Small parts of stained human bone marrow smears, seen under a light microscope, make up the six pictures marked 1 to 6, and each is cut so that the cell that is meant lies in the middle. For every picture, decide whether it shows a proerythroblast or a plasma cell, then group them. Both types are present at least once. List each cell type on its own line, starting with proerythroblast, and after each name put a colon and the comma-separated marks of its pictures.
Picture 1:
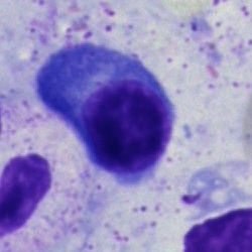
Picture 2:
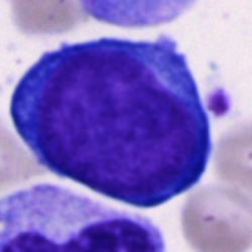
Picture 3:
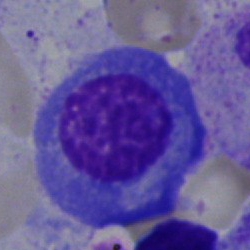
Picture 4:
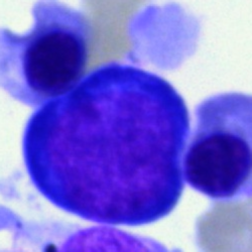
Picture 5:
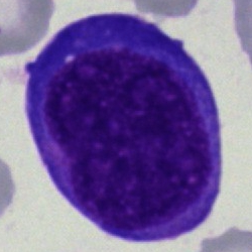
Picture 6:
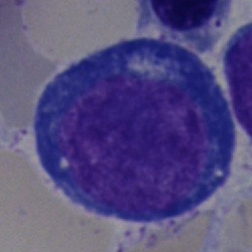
proerythroblast: 2, 4, 5, 6
plasma cell: 1, 3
